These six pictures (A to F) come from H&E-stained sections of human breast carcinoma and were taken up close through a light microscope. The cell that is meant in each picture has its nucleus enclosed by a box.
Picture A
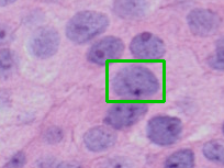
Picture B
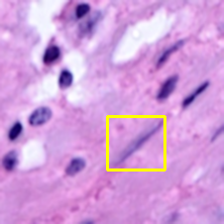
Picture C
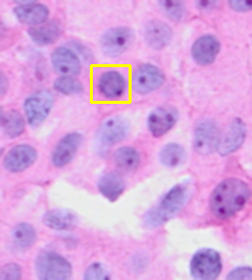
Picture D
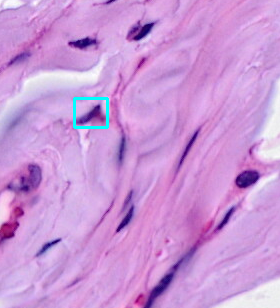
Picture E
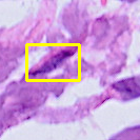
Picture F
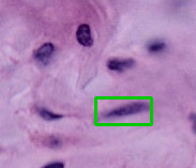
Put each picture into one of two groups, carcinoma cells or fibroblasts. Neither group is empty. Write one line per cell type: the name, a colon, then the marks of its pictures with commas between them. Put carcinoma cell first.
carcinoma cell: A, C
fibroblast: B, D, E, F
